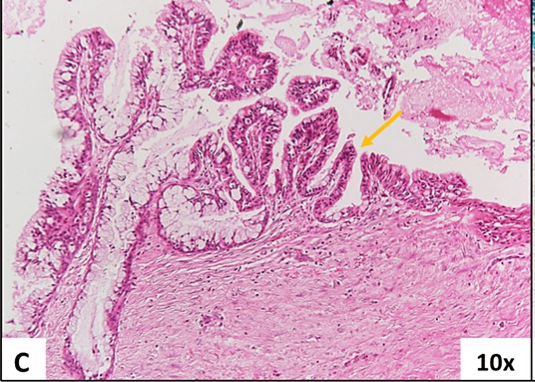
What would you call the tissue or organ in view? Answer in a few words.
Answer: simple columnar epithelium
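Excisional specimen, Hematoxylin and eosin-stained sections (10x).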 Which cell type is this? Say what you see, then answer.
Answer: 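Many epithelial cells have pale, clear, mucin-filled apical cytoplasm. Their nuclei are pushed to the base of the cells.
Hence: goblet cells.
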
